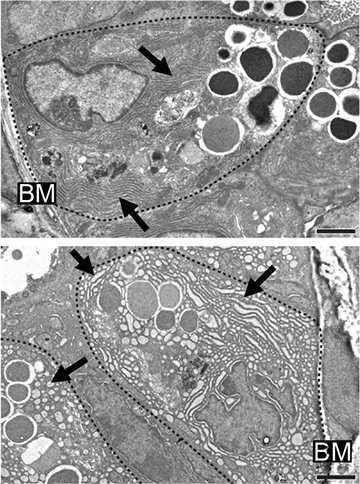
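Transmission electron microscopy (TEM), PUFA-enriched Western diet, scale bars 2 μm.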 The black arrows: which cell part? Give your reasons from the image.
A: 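Endoplasmic reticulum. The arrows point to parallel stacked membrane profiles in the cytoplasm. In the lower image these cisternae are widened into lighter lumens.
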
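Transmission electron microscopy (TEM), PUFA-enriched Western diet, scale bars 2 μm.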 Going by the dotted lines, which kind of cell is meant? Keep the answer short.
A: Paneth cells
